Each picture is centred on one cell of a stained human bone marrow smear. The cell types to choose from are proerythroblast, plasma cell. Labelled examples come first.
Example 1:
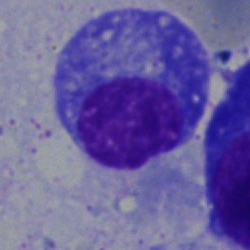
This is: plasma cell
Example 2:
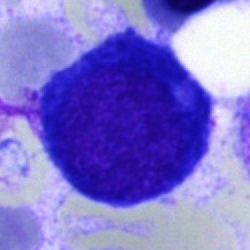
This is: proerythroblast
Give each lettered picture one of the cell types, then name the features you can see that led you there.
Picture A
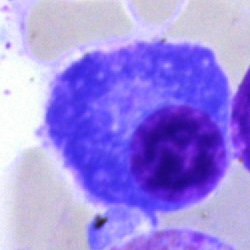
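plasma cell. Evidence: The cytoplasm is abundant and deep blue.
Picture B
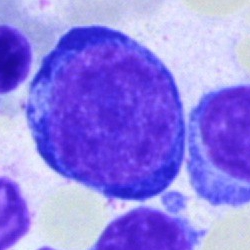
proerythroblast. Evidence: The cytoplasm forms a narrow rim around the nucleus.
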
